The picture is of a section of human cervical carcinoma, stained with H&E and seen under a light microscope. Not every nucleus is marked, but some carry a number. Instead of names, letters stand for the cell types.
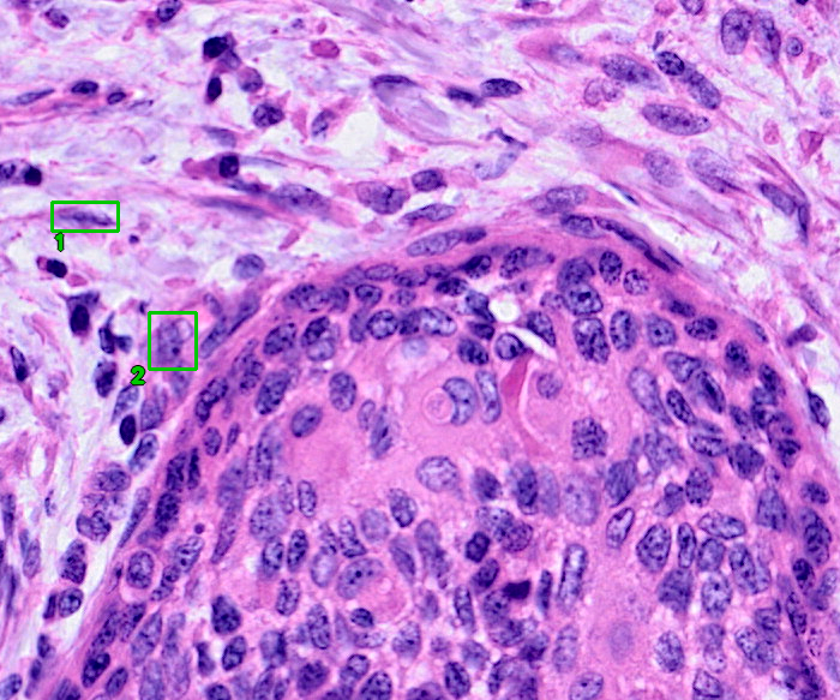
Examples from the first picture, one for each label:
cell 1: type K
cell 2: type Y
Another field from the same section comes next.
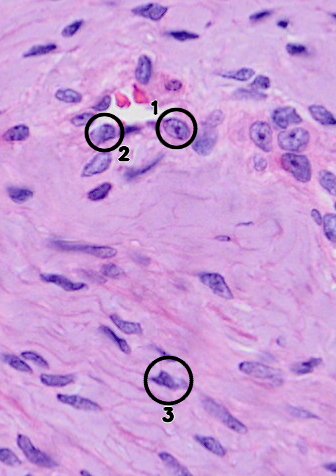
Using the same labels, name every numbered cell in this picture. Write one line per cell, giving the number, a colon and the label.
1: type Y
2: type Y
3: type K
